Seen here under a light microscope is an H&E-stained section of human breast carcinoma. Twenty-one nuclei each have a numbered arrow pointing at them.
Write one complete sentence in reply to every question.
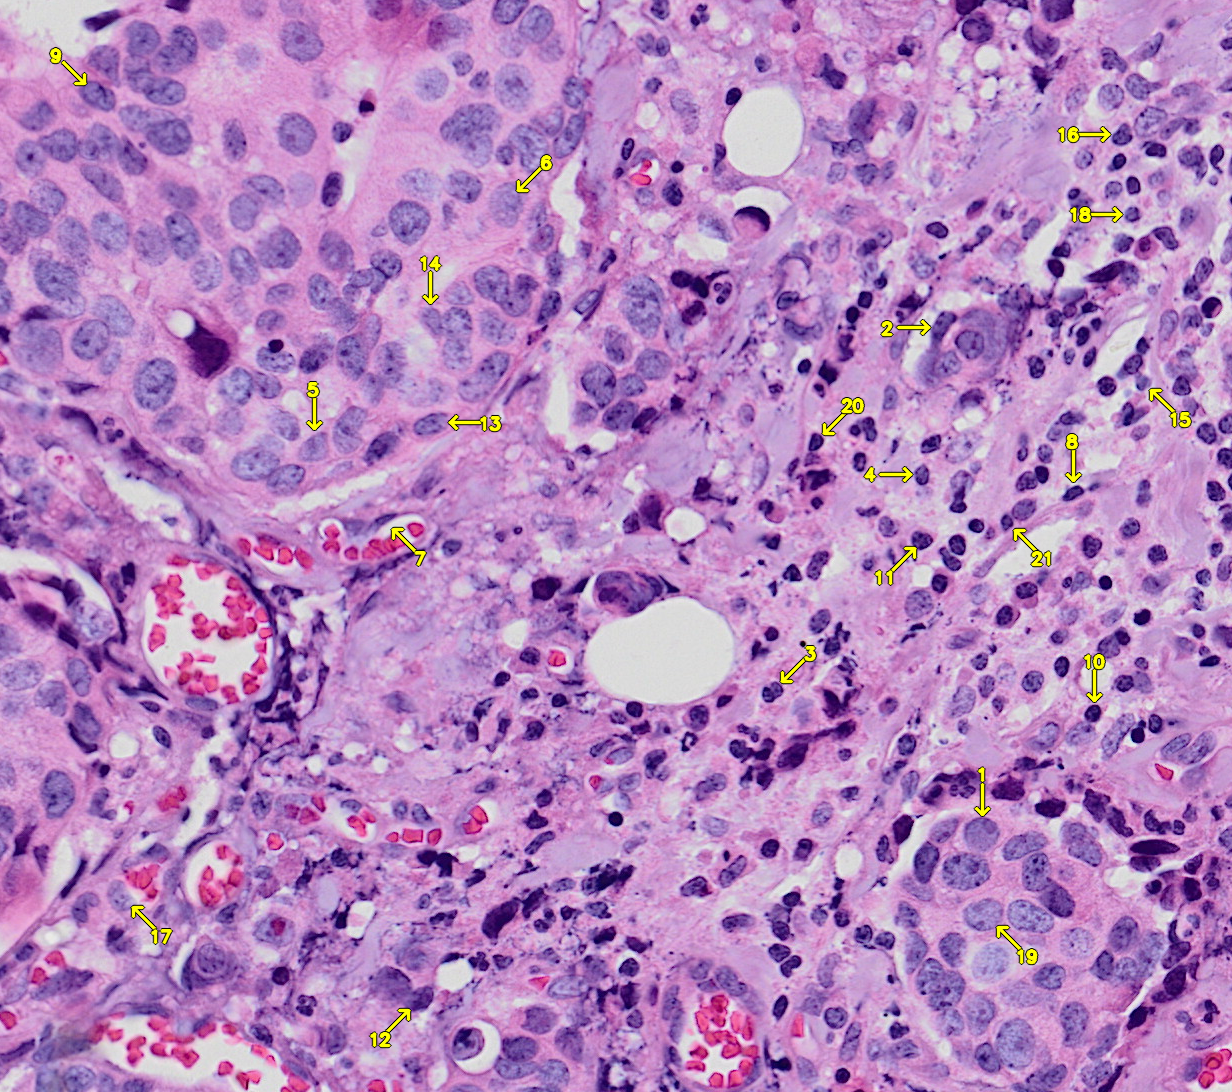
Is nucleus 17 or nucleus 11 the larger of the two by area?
At about 1.5 times the area of nucleus 11, nucleus 17 is the larger of the two.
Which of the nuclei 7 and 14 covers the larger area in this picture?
Nucleus 14 is larger, with an area about 1.5 times that of nucleus 7.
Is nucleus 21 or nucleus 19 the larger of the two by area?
It is nucleus 19, which covers about 4 times the area of nucleus 21.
